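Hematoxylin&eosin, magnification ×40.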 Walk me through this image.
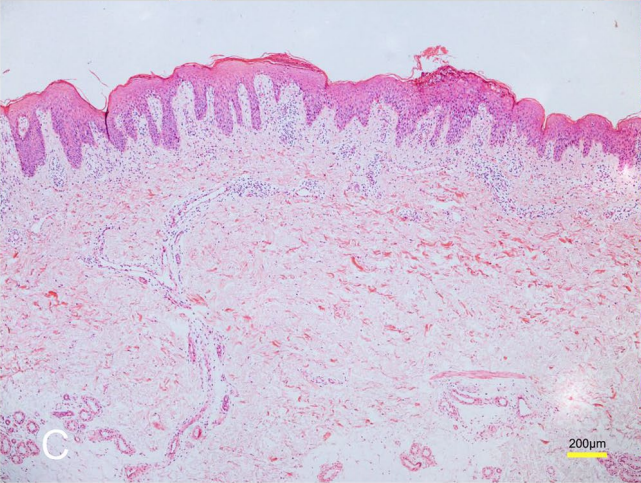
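Skin at low power showing psoriasiform hyperplasia of the epidermis. The epidermis is thick, and its rete ridges are long and fairly even as they reach into the dermis. A purple band of inflammatory cells lies in the upper dermis around the ridges and around vessels below. The deeper dermis is pale pink collagen with scattered vessels and glands near the bottom edge.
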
